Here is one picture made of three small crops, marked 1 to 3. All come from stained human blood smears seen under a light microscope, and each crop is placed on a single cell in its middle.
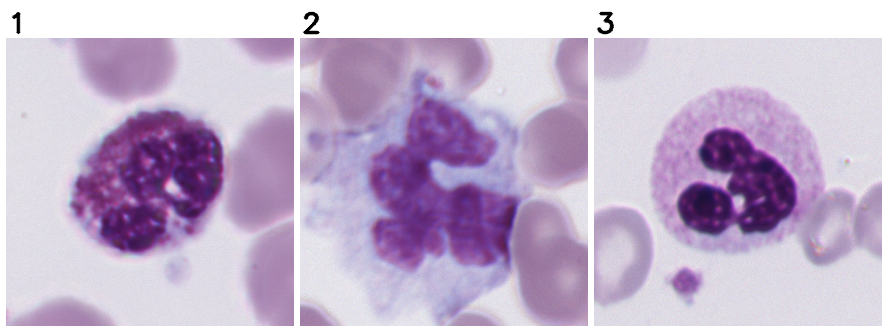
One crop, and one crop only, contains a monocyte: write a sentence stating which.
Here the crop that shows a monocyte is crop 2.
